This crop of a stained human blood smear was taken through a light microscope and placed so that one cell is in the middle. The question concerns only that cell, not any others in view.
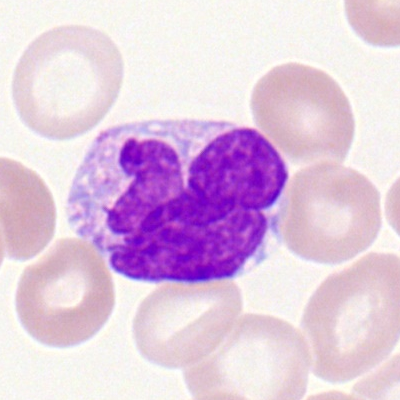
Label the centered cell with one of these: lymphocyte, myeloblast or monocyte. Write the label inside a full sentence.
The middle of this crop is occupied by a monocyte.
